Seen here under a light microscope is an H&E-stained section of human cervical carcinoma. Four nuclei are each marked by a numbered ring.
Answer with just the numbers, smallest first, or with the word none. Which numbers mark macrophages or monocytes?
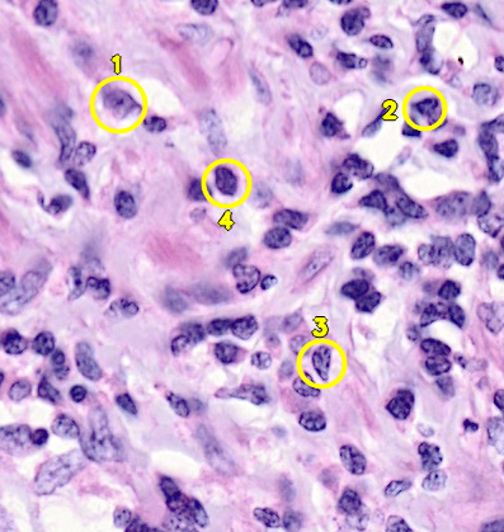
1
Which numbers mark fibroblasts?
none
